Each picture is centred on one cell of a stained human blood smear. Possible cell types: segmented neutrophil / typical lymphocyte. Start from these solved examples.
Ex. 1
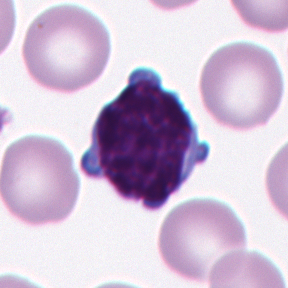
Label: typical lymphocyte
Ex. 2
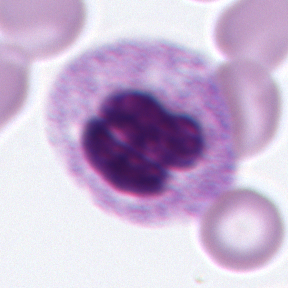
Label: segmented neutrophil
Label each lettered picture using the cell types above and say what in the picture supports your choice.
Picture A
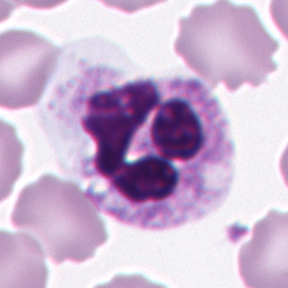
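segmented neutrophil. The cytoplasm is abundant and pale pinkish.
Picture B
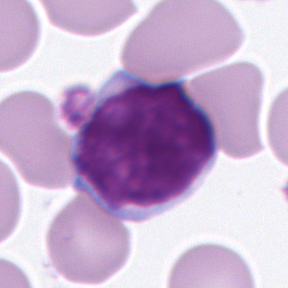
typical lymphocyte. The cytoplasm forms only a narrow pale blue rim around the nucleus.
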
